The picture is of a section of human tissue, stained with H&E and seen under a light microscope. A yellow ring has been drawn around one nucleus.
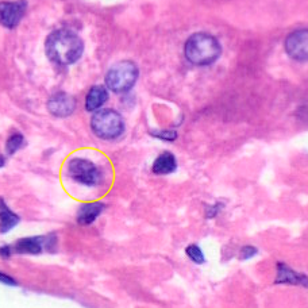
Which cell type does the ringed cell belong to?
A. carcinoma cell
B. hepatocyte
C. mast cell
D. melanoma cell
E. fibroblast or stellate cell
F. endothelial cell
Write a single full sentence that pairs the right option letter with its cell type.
Settle on option E; the ringed cell is a fibroblast or stellate cell.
